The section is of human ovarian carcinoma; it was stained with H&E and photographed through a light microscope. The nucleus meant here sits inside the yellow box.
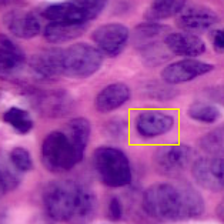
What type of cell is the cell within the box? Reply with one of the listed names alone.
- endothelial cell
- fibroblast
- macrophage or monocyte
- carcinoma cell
macrophage or monocyte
